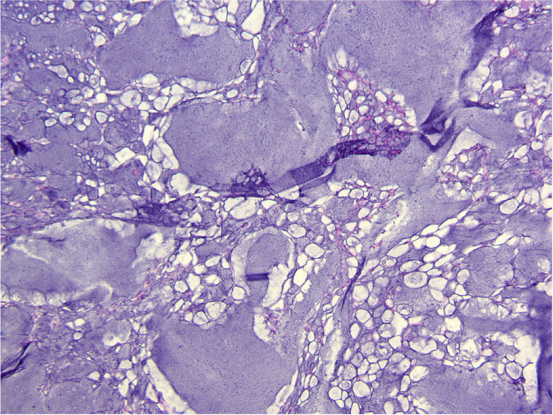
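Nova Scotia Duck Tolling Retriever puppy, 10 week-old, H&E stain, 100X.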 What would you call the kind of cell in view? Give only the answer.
physaliferous notochordal cells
